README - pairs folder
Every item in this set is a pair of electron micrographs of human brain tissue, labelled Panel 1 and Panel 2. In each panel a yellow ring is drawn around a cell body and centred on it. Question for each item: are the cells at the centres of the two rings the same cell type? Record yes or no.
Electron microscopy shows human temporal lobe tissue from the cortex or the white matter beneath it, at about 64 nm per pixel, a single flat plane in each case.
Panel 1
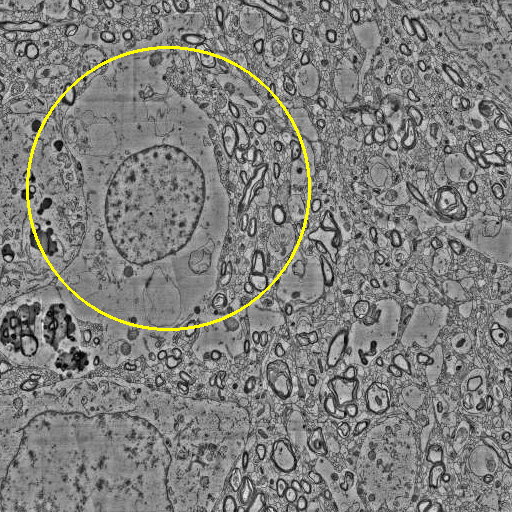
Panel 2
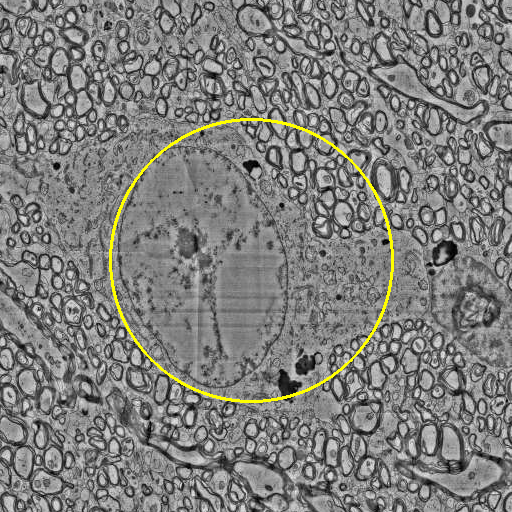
no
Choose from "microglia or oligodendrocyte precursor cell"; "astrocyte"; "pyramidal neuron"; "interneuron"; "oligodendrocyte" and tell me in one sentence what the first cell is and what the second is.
What the first ring is centred on is an astrocyte; what the second ring is centred on is a pyramidal neuron.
